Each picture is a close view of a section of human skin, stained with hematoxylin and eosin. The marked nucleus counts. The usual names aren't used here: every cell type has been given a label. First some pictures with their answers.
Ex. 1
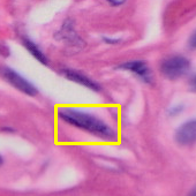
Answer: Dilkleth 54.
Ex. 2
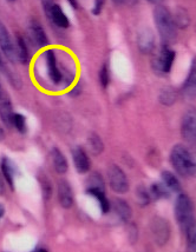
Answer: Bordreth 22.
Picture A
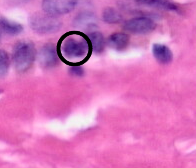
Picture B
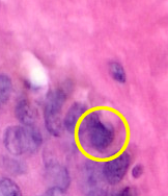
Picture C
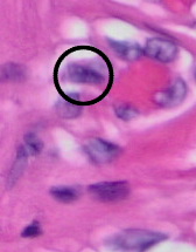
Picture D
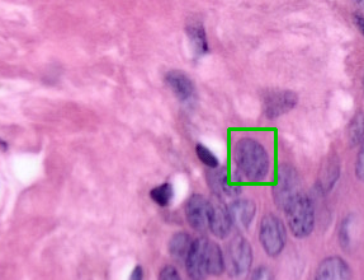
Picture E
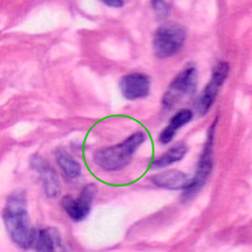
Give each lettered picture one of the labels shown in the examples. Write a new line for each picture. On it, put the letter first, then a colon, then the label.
A: Bordreth 22.
B: Bordreth 22.
C: Dilkleth 54.
D: Bordreth 22.
E: Dilkleth 54.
